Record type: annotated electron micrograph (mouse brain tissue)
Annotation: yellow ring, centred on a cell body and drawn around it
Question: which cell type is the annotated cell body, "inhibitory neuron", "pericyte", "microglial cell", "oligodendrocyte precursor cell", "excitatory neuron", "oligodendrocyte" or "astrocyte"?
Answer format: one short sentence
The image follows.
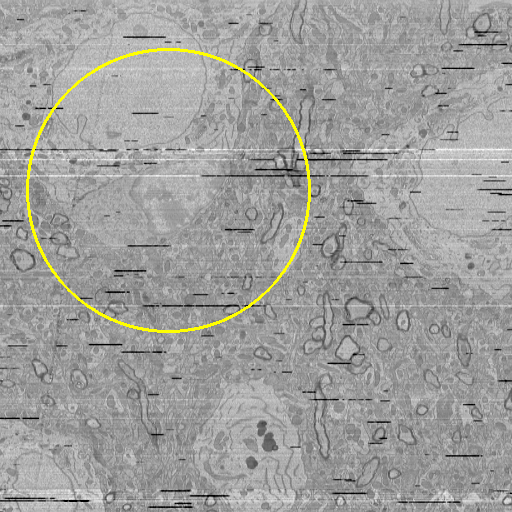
The annotated cell body is that of an oligodendrocyte.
